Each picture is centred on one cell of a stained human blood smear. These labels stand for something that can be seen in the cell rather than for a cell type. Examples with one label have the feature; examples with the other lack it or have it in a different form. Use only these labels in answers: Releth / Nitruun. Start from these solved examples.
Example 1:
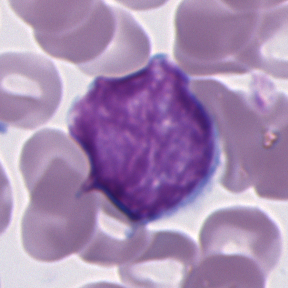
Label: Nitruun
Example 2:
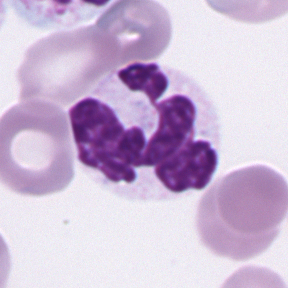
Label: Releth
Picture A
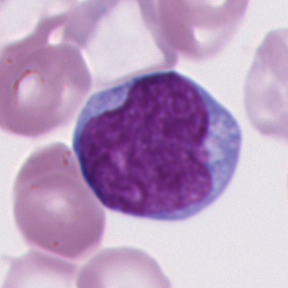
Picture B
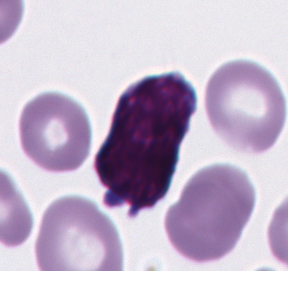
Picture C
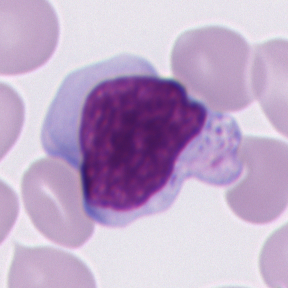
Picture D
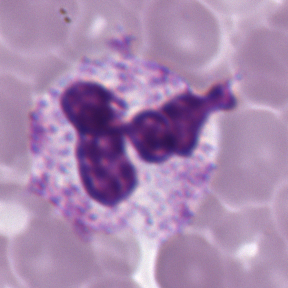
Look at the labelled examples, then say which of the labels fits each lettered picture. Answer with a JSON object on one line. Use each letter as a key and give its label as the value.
{"A": "Releth", "B": "Nitruun", "C": "Nitruun", "D": "Nitruun"}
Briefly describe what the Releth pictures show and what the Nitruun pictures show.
Seen in Releth: smooth outline; seen in Nitruun: ragged outline or projections.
